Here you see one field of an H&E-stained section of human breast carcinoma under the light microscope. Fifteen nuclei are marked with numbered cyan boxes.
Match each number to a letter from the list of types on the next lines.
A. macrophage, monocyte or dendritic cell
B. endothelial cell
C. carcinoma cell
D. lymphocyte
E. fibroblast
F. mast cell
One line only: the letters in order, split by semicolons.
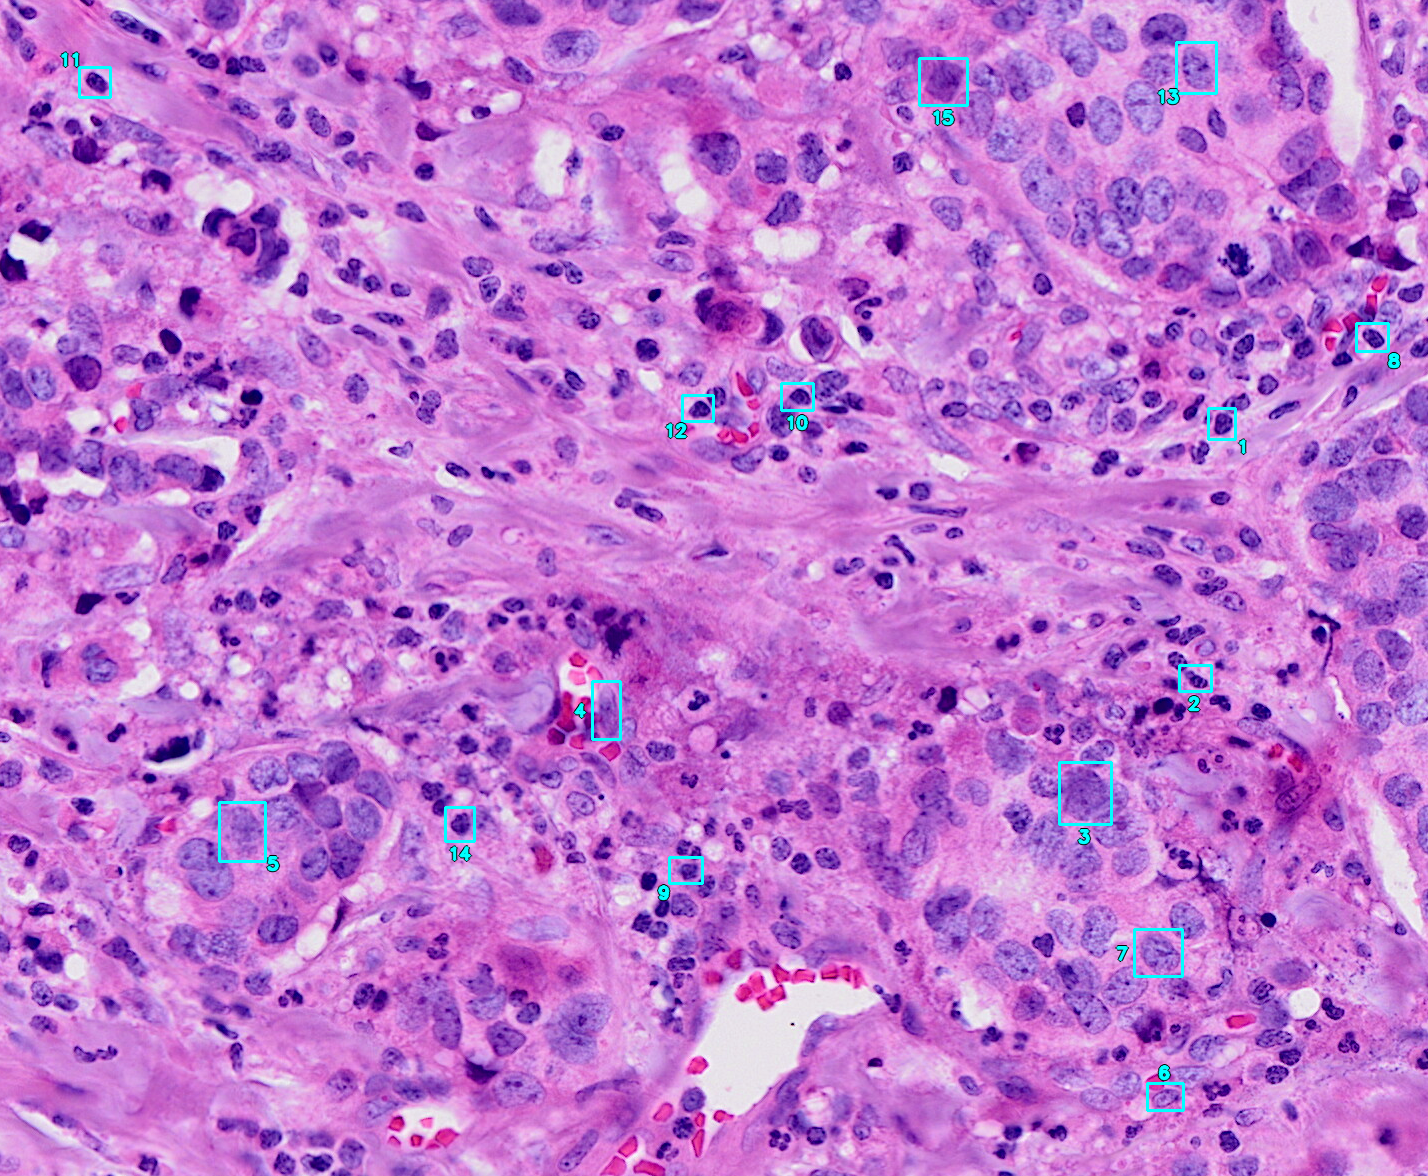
D; D; C; B; C; B; C; D; D; D; D; D; C; D; C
